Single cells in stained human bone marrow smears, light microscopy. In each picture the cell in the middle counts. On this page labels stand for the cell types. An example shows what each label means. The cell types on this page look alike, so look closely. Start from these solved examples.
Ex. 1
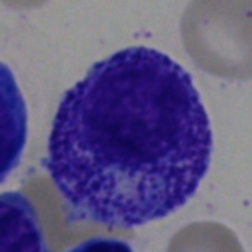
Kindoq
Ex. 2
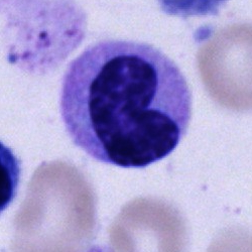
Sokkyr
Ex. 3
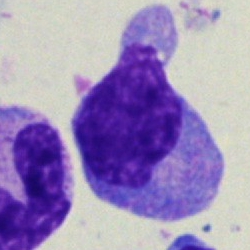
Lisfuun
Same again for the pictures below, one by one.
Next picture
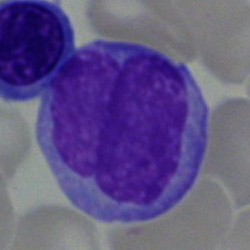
Lisfuun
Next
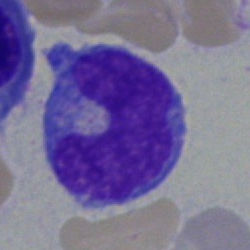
Lisfuun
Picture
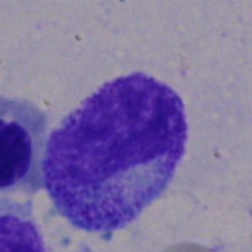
Kindoq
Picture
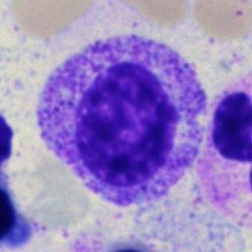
Kindoq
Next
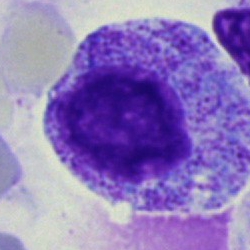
Kindoq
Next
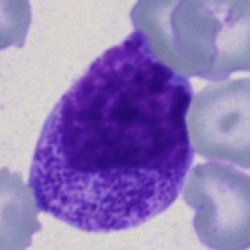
Kindoq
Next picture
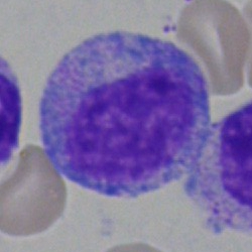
Kindoq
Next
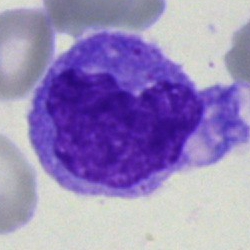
Lisfuun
